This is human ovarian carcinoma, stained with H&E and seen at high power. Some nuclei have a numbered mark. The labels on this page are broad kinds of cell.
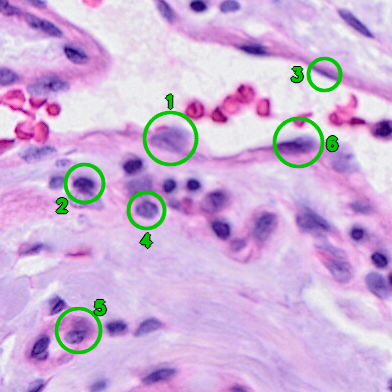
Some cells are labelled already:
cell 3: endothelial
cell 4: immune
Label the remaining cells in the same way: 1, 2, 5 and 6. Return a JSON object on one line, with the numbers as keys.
{"1": "endothelial", "2": "immune", "5": "endothelial", "6": "endothelial"}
